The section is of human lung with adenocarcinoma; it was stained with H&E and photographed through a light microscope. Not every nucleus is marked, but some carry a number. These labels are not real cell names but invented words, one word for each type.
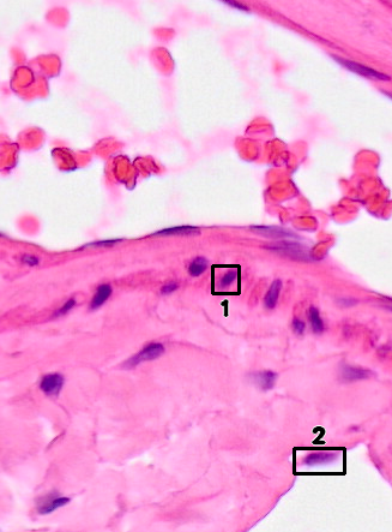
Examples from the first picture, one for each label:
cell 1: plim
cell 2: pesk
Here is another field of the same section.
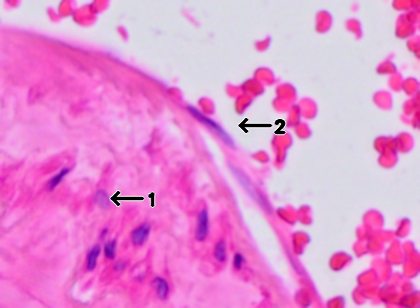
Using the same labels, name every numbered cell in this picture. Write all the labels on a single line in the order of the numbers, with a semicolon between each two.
plim; pesk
